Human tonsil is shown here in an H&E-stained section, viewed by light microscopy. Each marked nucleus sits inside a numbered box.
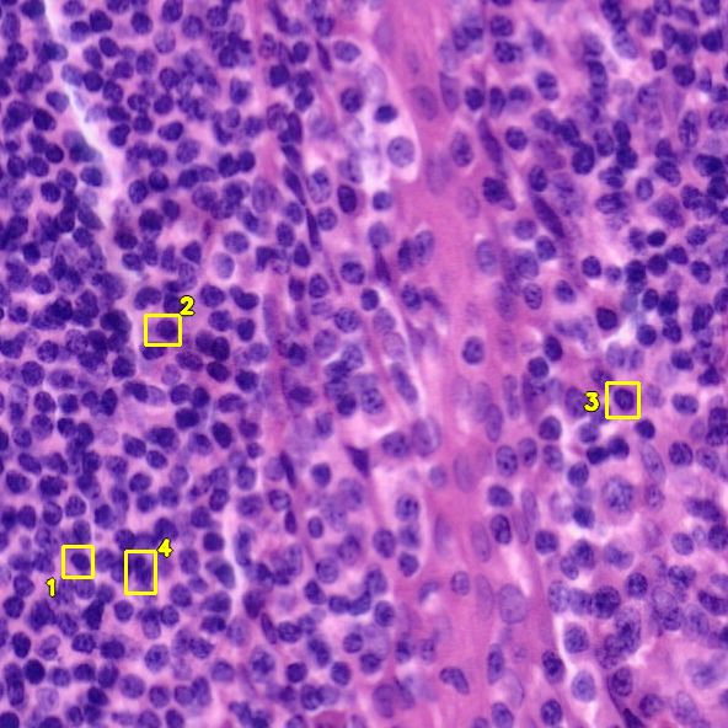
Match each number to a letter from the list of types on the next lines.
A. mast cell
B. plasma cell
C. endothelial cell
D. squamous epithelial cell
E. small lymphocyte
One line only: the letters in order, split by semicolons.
E; E; B; E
